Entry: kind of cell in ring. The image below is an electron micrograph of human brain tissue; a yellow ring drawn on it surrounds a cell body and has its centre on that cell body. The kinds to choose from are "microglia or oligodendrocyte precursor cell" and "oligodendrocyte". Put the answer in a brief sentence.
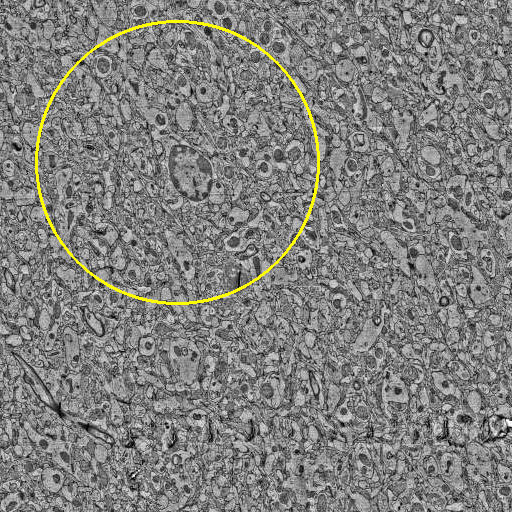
The ring has been drawn around a microglial cell or oligodendrocyte precursor cell.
